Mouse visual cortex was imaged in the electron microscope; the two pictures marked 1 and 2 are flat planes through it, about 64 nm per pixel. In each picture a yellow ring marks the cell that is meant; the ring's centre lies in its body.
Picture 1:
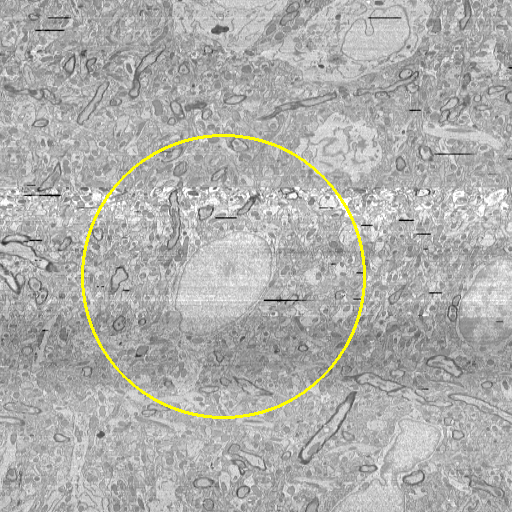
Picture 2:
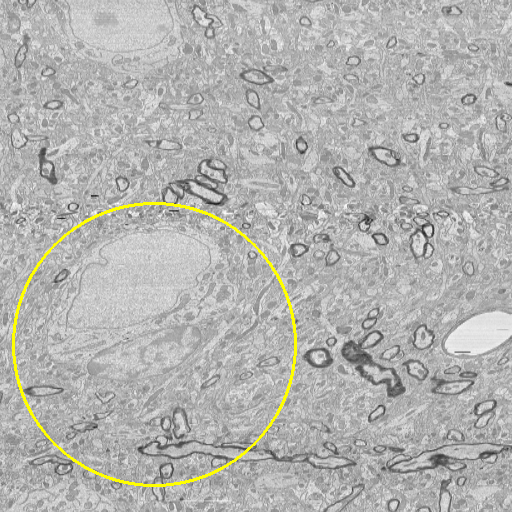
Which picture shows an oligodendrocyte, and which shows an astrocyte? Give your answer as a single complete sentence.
In picture 1 the cell is an astrocyte; in picture 2, an oligodendrocyte.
